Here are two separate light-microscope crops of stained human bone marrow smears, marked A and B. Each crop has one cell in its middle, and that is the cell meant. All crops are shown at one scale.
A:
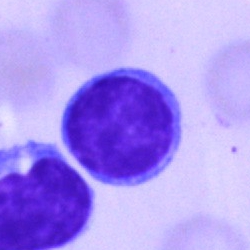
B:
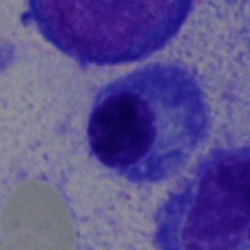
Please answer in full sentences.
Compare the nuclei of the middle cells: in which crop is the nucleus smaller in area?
It is the nucleus in crop B; the one in crop A has about 2.5 times its area.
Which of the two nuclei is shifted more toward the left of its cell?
In crop B the nucleus is shifted more toward the left.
